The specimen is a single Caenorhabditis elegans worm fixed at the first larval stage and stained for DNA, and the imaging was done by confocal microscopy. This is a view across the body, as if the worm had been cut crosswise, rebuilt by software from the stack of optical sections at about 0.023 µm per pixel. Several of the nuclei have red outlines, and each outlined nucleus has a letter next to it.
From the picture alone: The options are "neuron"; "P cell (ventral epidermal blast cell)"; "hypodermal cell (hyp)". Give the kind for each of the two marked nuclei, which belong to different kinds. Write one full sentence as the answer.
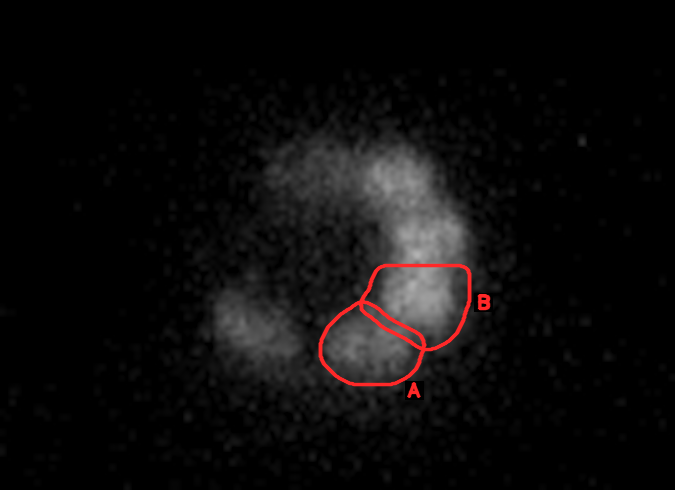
A is in a P cell (ventral epidermal blast cell) and B is in a neuron.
